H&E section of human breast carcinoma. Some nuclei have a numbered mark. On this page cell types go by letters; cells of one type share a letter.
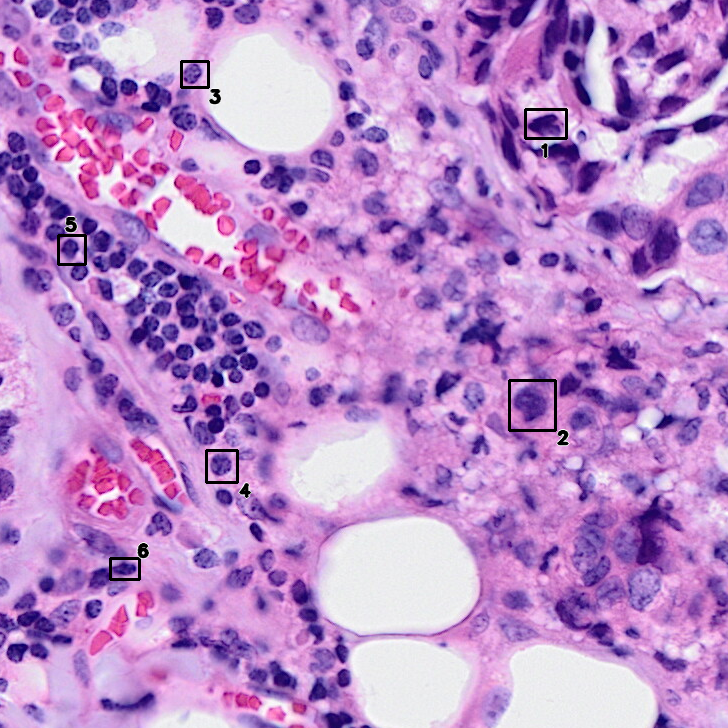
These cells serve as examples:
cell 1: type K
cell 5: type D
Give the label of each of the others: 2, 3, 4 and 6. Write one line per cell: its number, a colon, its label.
2: type K
3: type D
4: type D
6: type D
